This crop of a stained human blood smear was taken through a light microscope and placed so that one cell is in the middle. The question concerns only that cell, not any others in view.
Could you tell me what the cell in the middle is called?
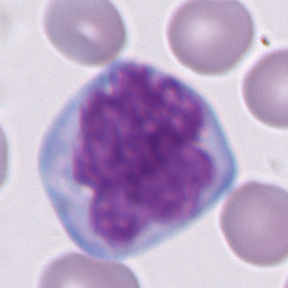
myeloblast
